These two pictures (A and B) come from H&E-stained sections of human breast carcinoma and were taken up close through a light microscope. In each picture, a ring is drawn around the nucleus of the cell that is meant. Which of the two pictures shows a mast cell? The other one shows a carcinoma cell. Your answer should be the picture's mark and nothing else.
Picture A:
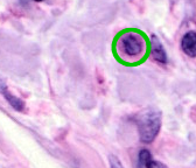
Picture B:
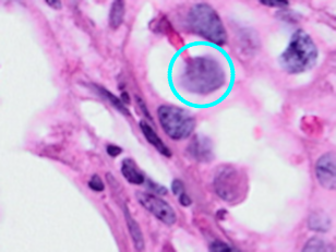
A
